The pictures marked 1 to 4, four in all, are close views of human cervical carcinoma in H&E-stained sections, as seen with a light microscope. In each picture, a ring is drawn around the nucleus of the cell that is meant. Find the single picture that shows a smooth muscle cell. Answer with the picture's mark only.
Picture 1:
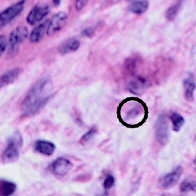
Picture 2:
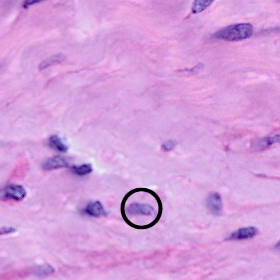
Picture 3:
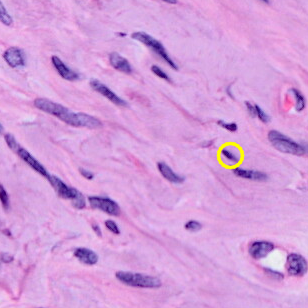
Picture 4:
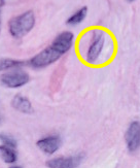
4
